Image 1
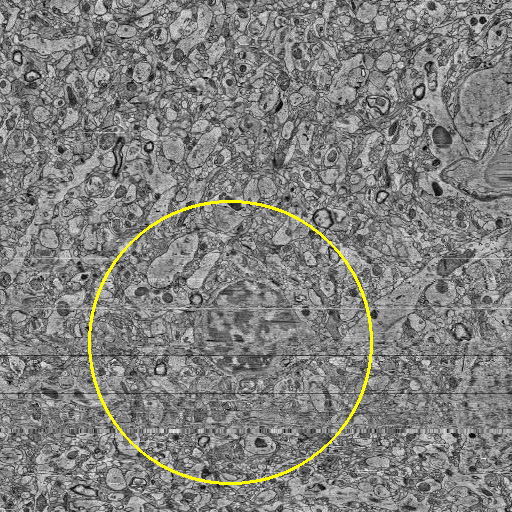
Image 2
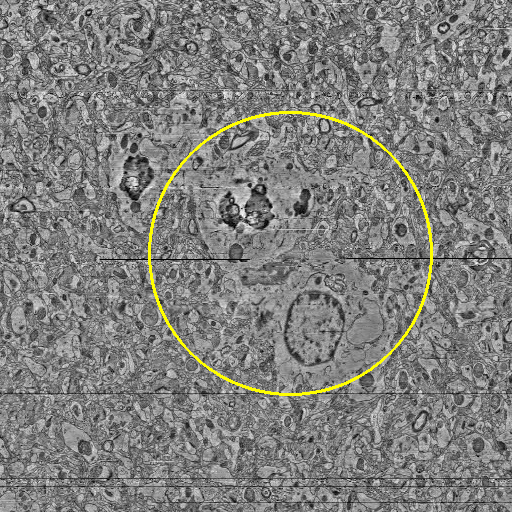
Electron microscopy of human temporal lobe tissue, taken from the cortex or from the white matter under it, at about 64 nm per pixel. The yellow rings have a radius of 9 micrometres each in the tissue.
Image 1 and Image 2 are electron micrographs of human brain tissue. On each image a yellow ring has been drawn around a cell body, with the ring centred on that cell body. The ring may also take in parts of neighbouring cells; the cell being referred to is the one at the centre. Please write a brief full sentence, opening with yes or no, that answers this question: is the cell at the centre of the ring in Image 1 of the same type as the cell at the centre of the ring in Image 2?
Yes, both cells are of the same type.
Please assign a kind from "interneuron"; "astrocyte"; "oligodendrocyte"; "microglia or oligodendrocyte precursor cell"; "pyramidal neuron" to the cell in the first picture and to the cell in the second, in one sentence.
Each of the two rings is centred on an oligodendrocyte.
